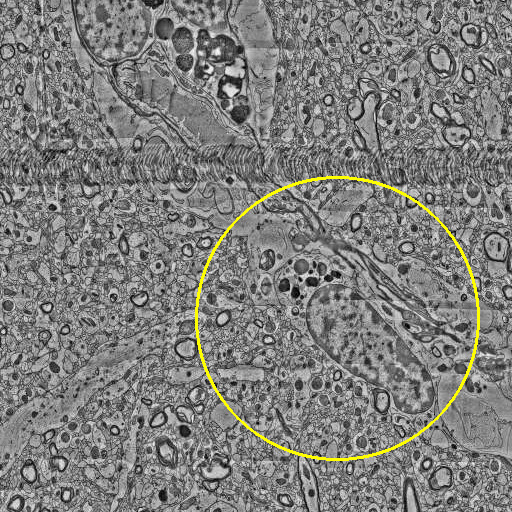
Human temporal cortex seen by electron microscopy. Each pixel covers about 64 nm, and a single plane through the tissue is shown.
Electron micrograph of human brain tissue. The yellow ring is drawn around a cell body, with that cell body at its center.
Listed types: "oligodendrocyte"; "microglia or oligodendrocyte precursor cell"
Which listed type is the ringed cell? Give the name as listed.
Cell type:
microglia or oligodendrocyte precursor cell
